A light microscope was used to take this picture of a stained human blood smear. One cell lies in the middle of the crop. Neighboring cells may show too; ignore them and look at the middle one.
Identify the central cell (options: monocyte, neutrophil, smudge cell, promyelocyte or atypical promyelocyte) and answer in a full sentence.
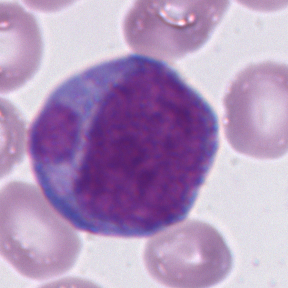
The identification for the central cell is a promyelocyte.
